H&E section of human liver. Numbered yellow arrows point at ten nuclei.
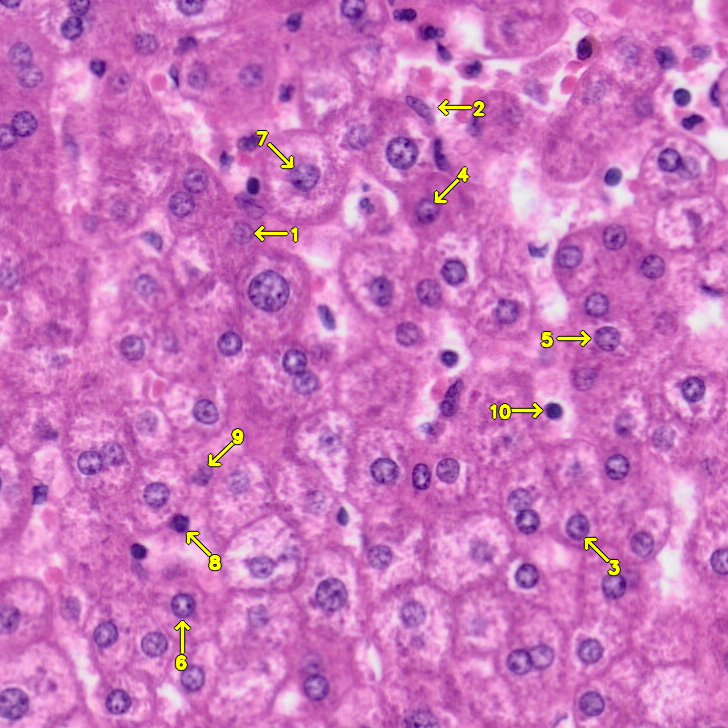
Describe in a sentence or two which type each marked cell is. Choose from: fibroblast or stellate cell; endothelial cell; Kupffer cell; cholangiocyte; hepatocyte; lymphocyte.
Cells 1, 3, 4, 5, 6 and 7 are hepatocytes. Cell 2 is a Kupffer cell. Cell 8 is a fibroblast or stellate cell. Cell 9 is an endothelial cell. Cell 10 is a lymphocyte.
